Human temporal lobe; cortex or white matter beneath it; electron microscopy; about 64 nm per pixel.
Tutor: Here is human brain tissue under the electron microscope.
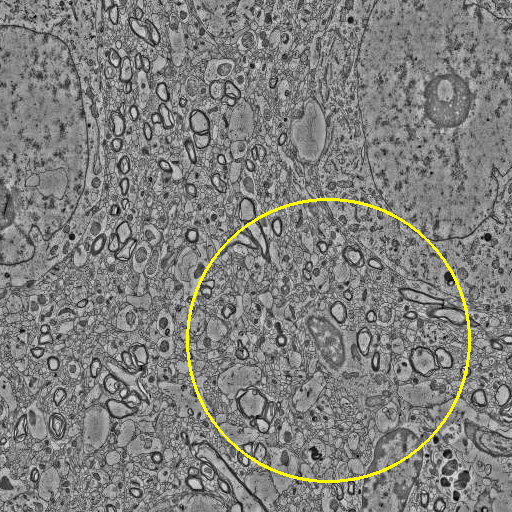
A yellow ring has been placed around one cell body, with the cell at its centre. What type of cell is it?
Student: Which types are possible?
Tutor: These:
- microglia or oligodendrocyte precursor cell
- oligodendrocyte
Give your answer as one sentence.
What the ring picks out here is an oligodendrocyte.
